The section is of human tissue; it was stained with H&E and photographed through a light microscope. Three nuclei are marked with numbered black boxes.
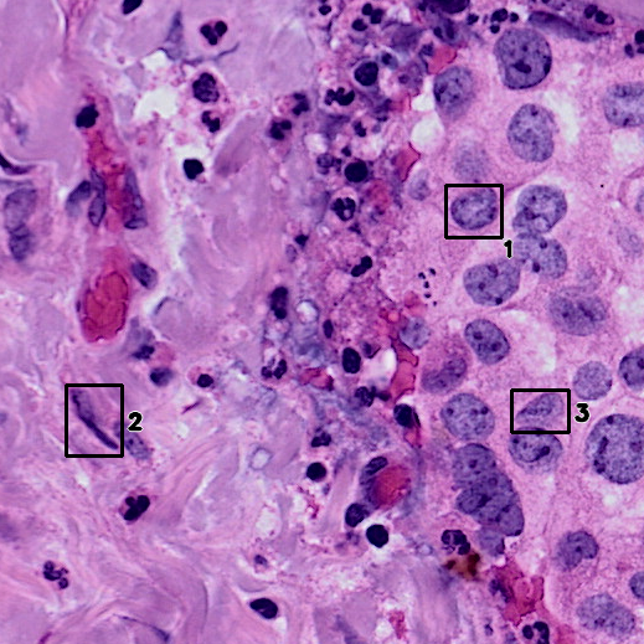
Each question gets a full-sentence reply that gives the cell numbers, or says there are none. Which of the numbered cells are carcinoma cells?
The cells given the numbers 1 and 3 are carcinoma cells.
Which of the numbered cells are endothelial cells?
Across all the numbered cells, no endothelial cells are present.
